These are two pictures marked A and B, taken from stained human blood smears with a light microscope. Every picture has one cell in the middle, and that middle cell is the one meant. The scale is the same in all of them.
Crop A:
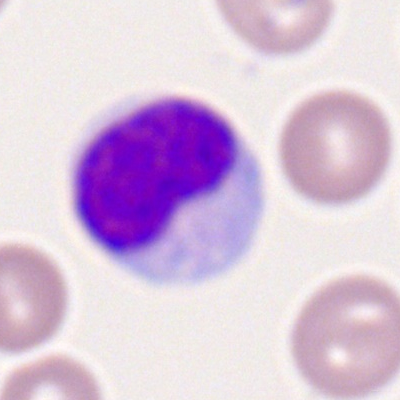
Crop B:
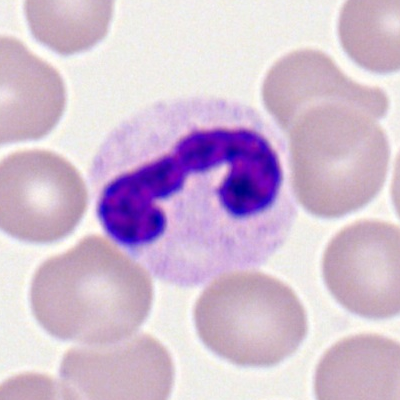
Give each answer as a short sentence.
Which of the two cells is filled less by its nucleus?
In crop B the nucleus takes up the smaller part of its cell.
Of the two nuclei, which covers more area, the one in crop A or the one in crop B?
The nucleus in crop A is larger, with about 1.5 times the area of the one in crop B.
